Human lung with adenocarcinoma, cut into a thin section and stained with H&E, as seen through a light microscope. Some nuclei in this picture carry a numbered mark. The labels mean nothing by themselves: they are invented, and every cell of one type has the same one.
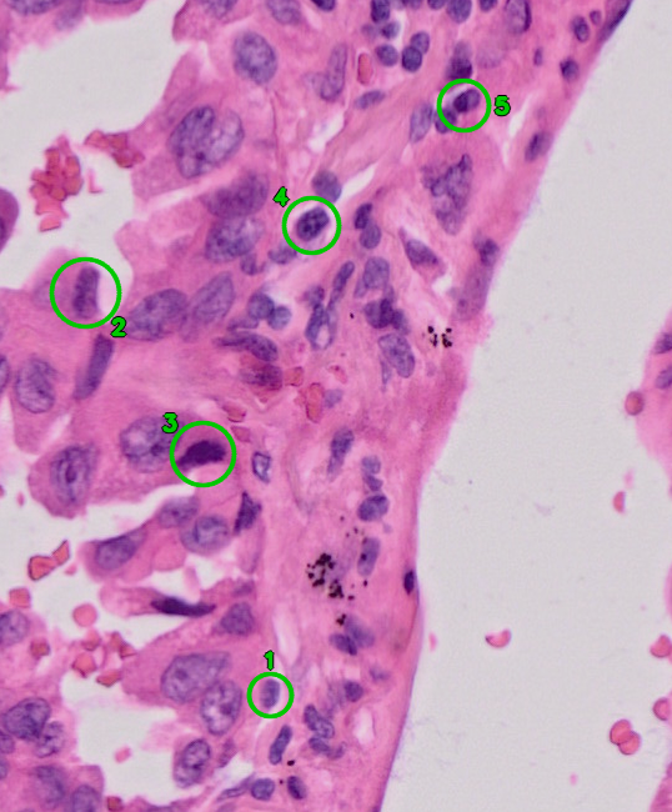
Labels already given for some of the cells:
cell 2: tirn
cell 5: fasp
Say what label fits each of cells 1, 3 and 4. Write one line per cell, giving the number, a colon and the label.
1: fasp
3: tirn
4: fasp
